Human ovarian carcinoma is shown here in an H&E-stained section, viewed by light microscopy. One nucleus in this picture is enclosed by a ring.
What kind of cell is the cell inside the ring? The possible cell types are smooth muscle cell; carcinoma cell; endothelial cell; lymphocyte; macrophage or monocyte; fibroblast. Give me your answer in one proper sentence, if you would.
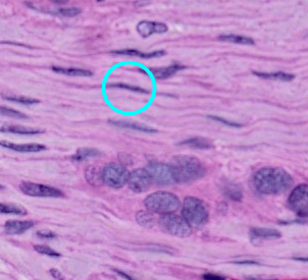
In the tissue at hand, the cell inside the ring is a fibroblast.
